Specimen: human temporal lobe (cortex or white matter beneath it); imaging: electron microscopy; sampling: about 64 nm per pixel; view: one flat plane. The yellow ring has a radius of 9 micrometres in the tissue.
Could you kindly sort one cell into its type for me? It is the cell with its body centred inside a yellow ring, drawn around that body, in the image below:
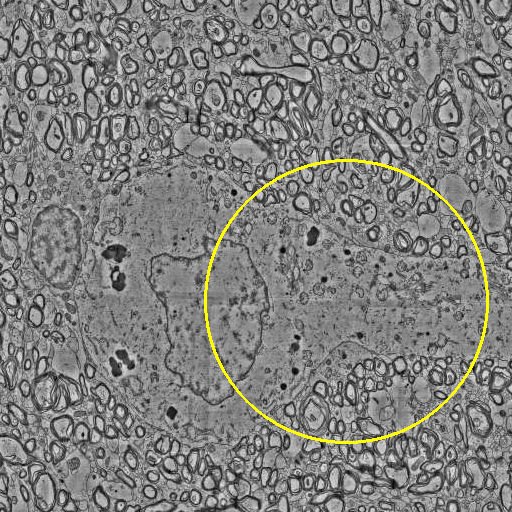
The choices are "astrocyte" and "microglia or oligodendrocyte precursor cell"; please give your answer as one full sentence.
The cell whose body lies centred in the yellow ring here is a microglial cell or oligodendrocyte precursor cell.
